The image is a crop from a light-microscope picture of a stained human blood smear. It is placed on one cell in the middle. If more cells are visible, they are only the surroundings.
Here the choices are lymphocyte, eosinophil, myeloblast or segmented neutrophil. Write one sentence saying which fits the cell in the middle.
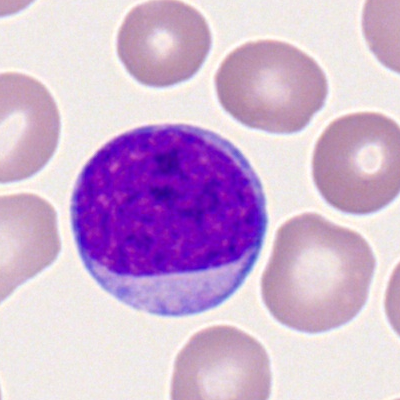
Among the cells in view, the one in the middle is a myeloblast.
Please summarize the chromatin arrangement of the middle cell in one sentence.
The nucleus shows chromatin that is coarsely clumped.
